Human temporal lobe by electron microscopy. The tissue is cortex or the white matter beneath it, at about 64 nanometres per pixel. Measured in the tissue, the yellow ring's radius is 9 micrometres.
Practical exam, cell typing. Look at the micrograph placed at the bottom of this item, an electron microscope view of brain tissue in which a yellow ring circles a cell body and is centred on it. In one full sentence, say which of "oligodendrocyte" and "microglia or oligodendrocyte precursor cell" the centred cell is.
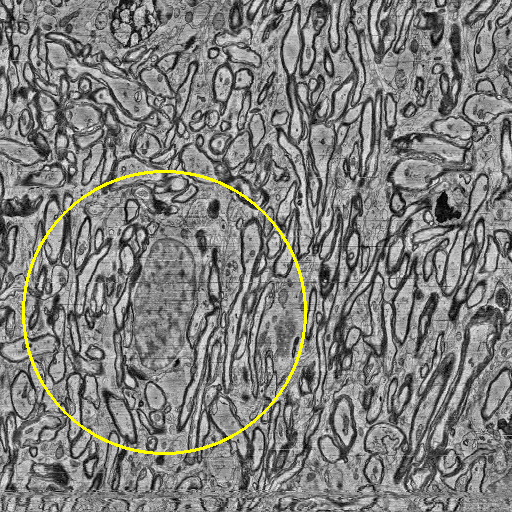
Given the options, an oligodendrocyte fits the cell whose body the yellow ring is centred on.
